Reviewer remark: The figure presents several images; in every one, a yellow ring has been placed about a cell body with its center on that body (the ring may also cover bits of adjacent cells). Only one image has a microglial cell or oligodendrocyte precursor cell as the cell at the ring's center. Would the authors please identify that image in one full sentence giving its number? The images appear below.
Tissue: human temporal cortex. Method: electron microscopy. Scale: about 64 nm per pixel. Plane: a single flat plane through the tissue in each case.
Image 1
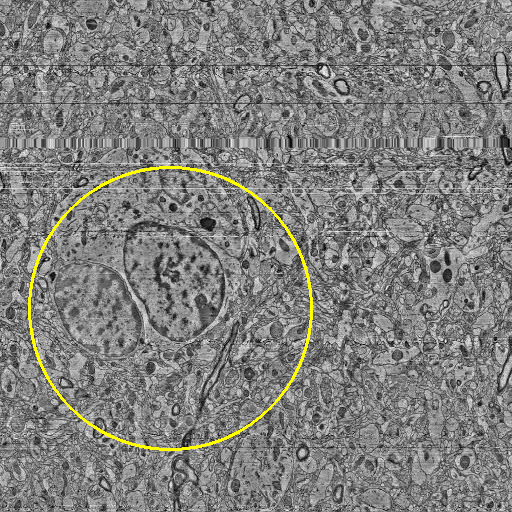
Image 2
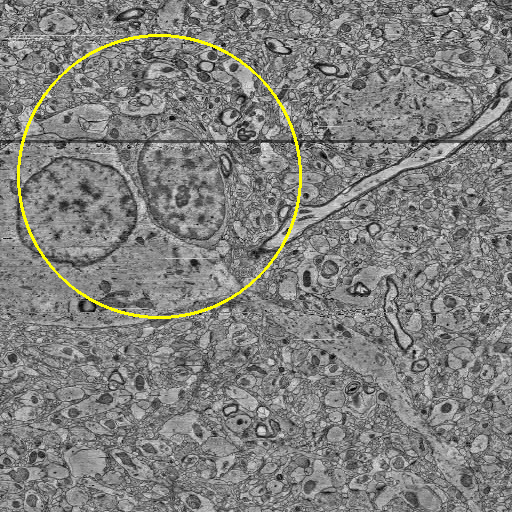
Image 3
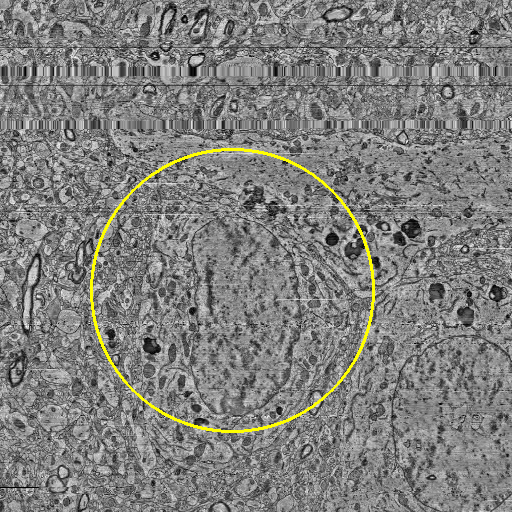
The ring's central cell in image 1 is the one the question describes.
